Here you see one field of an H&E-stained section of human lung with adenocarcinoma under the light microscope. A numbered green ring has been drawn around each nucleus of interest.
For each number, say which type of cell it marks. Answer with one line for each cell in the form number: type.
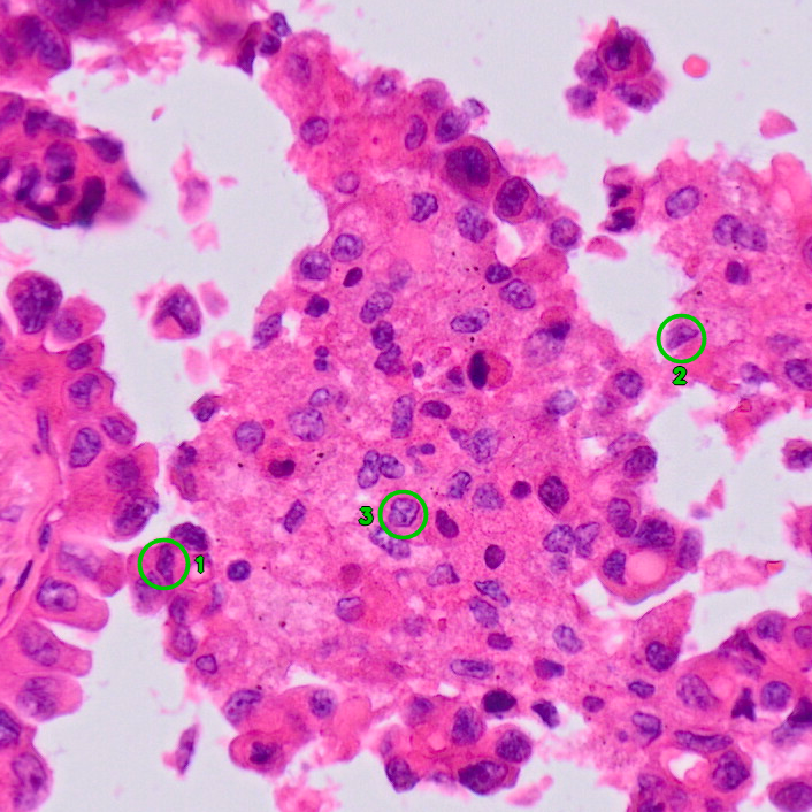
1: carcinoma cell
2: macrophage or monocyte
3: macrophage or monocyte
